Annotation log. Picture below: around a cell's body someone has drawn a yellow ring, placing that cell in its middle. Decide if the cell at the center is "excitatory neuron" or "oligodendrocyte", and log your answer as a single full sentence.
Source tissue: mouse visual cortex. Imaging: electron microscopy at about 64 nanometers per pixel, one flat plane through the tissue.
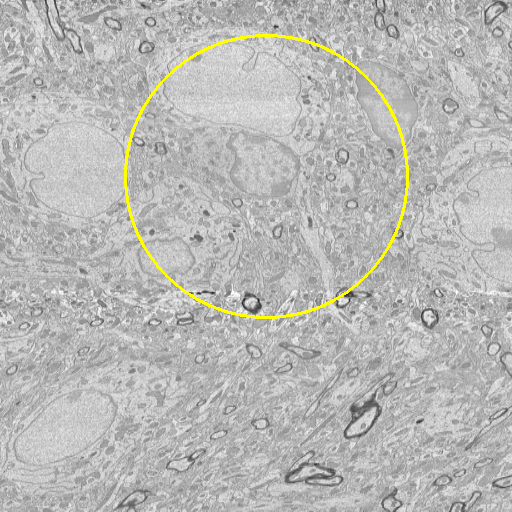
My entry records an oligodendrocyte as the cell sitting at the center of the yellow ring.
